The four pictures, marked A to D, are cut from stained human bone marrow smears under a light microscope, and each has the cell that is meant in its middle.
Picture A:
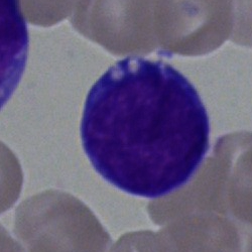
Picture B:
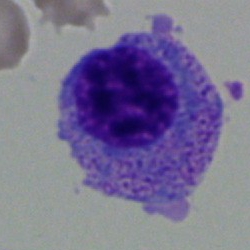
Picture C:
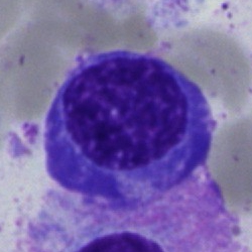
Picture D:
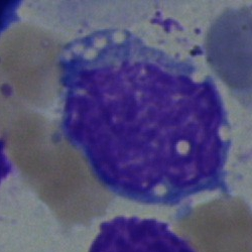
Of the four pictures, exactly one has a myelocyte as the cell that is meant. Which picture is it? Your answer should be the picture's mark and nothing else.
B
